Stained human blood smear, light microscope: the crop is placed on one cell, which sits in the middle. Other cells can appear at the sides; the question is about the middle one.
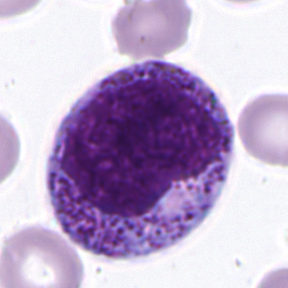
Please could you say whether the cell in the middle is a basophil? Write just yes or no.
no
